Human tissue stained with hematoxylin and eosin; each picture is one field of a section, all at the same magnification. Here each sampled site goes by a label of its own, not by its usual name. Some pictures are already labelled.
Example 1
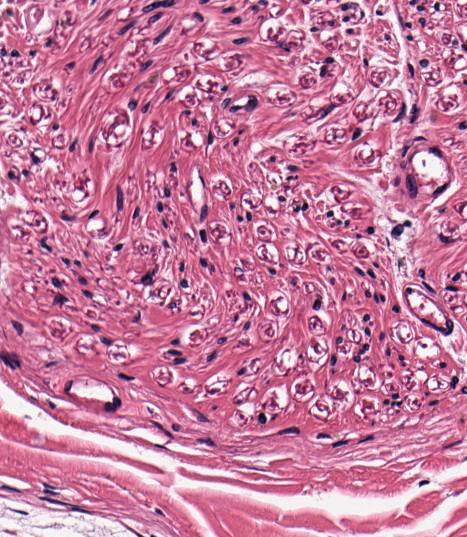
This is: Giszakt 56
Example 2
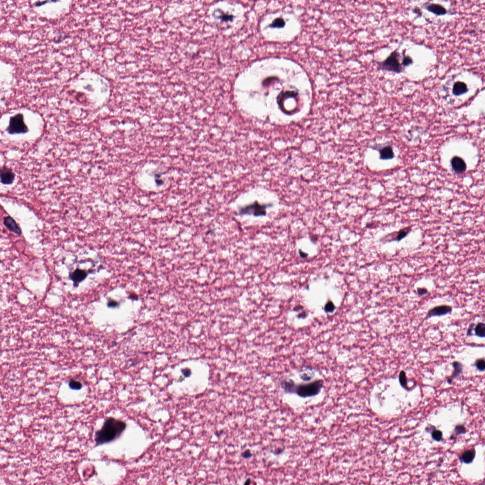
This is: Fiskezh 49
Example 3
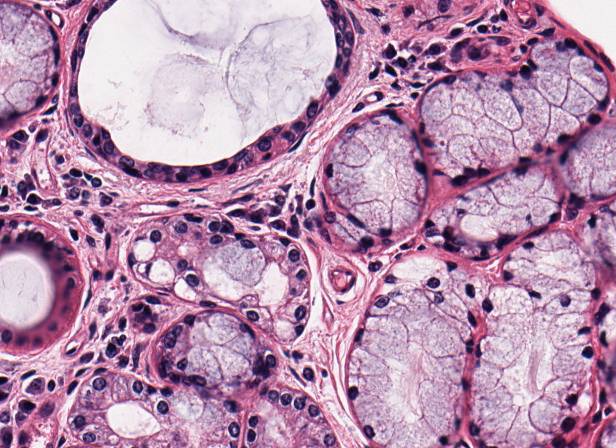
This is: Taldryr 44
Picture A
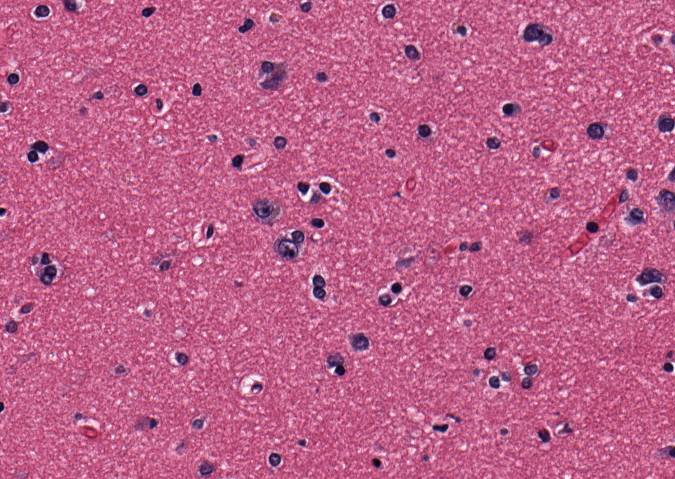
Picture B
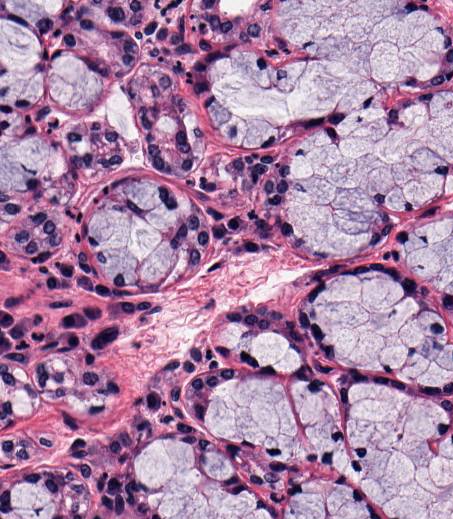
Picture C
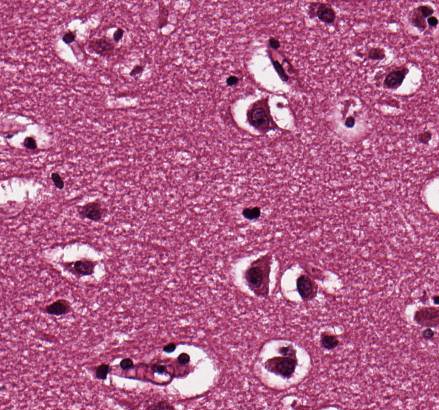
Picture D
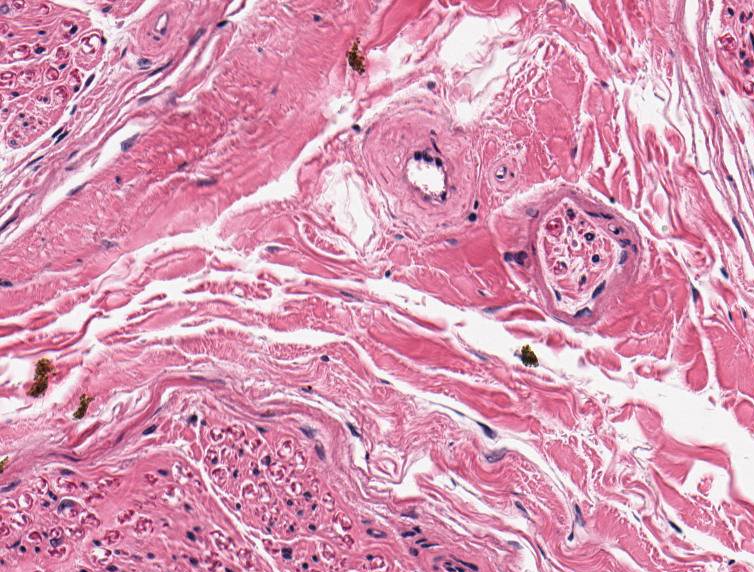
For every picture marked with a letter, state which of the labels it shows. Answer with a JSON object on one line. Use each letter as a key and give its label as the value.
{"A": "Fiskezh 49", "B": "Taldryr 44", "C": "Fiskezh 49", "D": "Giszakt 56"}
